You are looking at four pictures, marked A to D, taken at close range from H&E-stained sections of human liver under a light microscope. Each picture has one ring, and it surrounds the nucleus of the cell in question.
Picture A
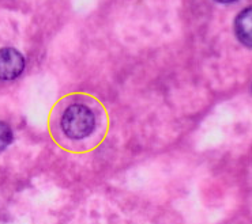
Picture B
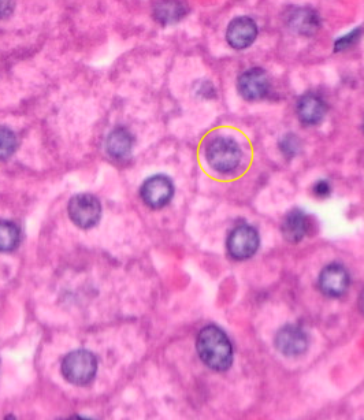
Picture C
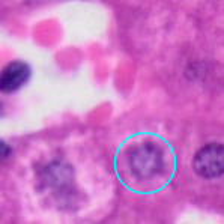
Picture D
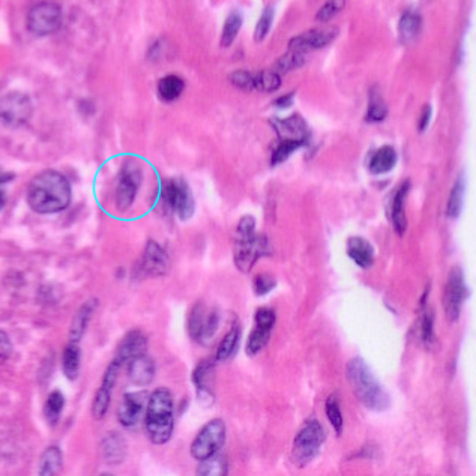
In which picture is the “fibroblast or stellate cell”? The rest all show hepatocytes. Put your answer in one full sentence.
Picture D shows the “fibroblast or stellate cell”.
